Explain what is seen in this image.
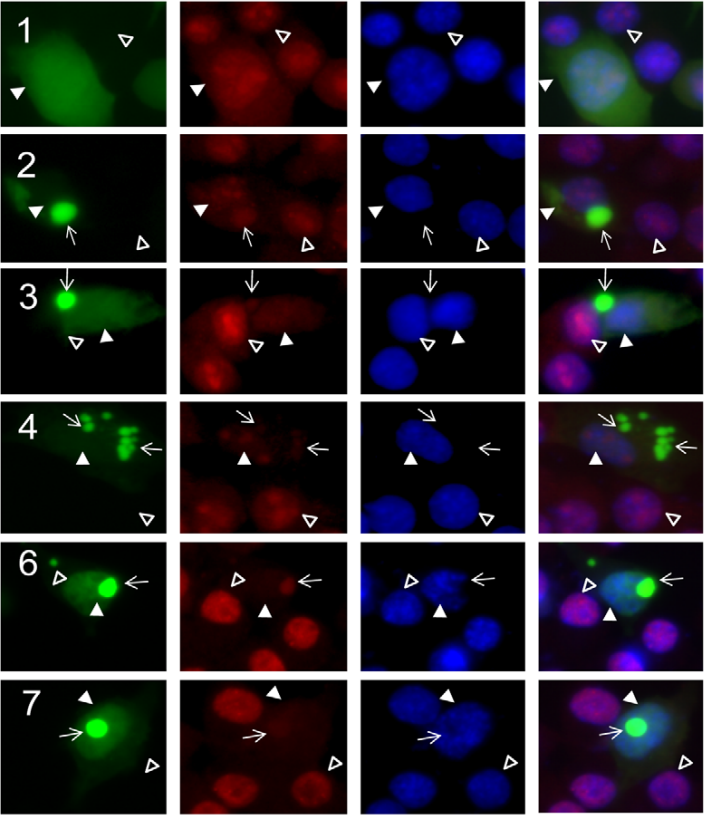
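Cultured cells in a grid of fluorescence channels with a merged view per row. Blue nuclei are round to oval and lie close together. In some rows the green fills the whole cell body diffusely, nucleus included. In others each green cell carries one bright round inclusion or a cluster of small bright dots, lying over or beside the nucleus, while the rest of the cell is dimly green. Red staining is mainly nuclear, granular and bright in neighbouring cells without green, and noticeably fainter in the nuclei of cells bearing the bright green inclusions.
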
